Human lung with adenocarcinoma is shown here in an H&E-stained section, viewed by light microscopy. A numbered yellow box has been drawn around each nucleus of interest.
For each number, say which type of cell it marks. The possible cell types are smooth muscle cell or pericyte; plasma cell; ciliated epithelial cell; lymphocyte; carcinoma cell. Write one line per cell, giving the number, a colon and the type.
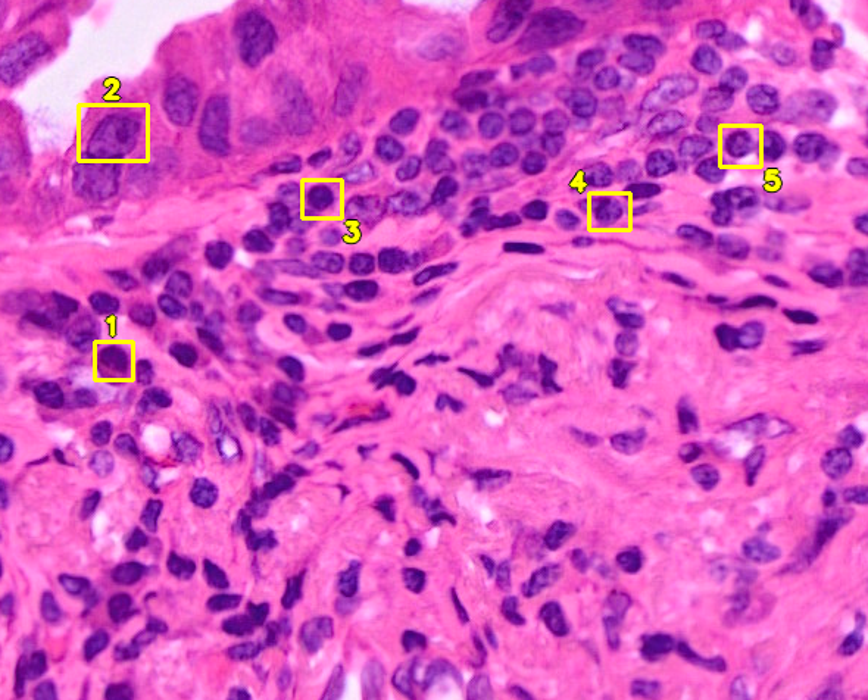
1: plasma cell
2: carcinoma cell
3: lymphocyte
4: lymphocyte
5: lymphocyte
